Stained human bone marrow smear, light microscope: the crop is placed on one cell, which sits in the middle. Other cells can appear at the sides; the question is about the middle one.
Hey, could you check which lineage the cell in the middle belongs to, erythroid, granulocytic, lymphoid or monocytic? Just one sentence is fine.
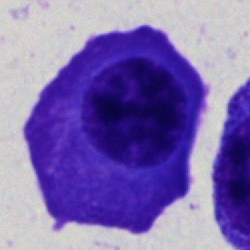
Regarding the central cell, its lineage is lymphoid.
